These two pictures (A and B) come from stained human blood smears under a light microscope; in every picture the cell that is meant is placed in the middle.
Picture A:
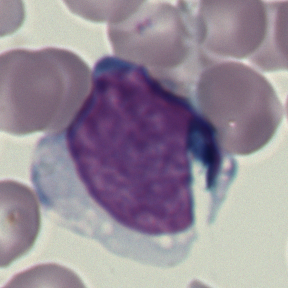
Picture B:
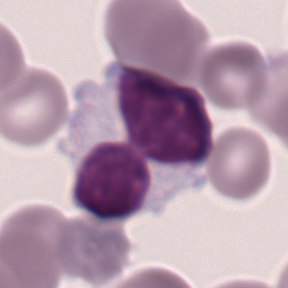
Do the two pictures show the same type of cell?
no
